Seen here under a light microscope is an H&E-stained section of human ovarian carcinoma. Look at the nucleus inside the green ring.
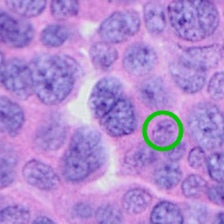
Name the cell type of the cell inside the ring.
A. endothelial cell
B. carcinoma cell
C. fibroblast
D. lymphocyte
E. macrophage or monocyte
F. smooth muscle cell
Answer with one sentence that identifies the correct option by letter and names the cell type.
Option B is the right choice, for the cell inside the ring is a carcinoma cell.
